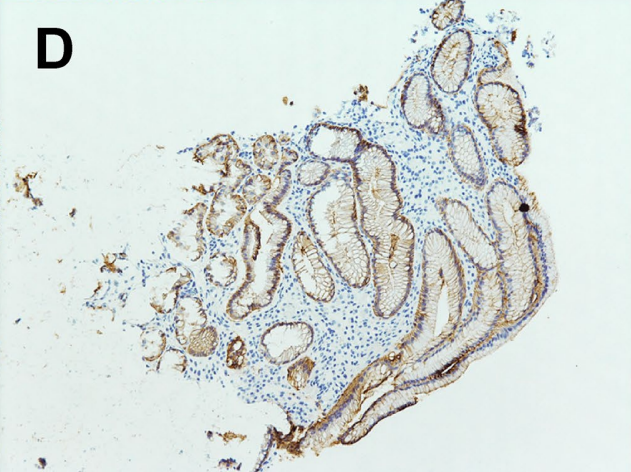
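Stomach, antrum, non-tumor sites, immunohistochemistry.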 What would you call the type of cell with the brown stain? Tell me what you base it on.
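Brown stain outlines the columnar cells lining the pits and glands. The lamina propria between the glands stays blue.
Hence: Gastric epithelial cells.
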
